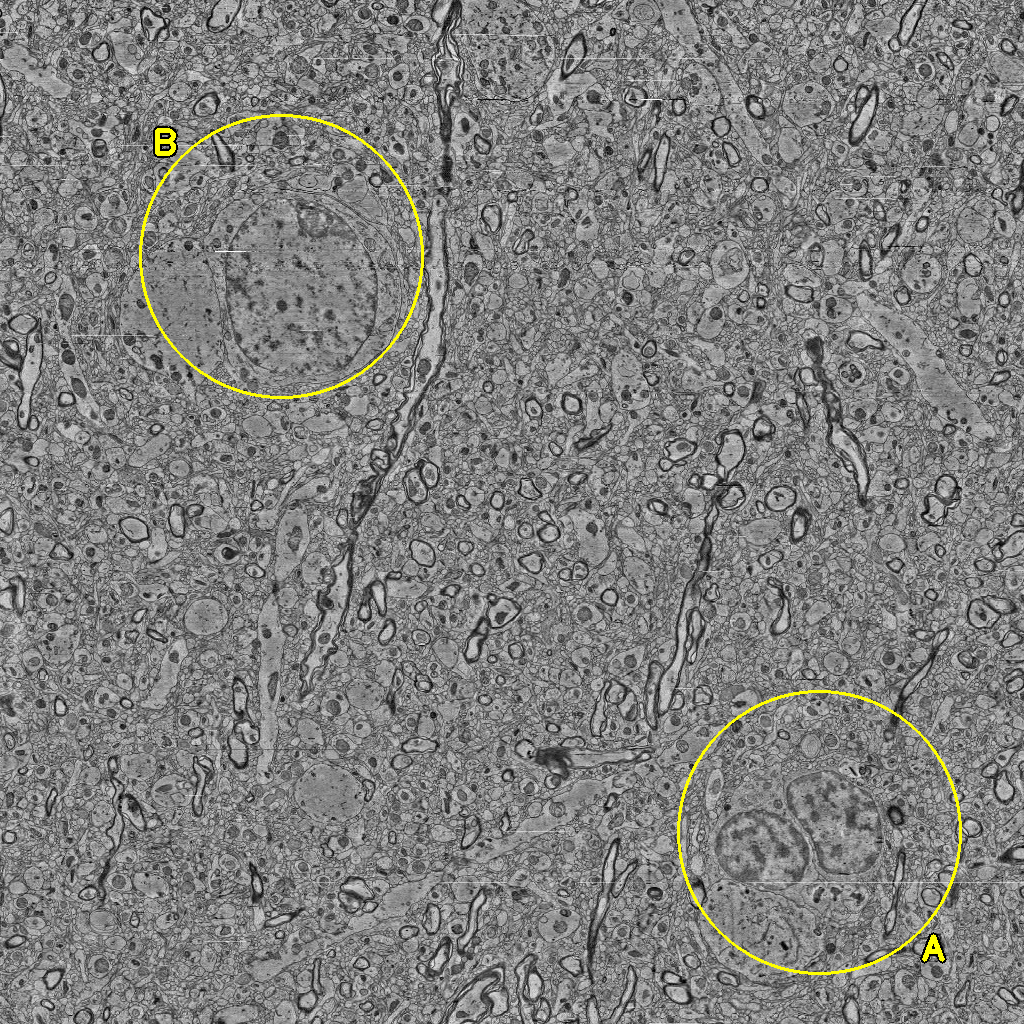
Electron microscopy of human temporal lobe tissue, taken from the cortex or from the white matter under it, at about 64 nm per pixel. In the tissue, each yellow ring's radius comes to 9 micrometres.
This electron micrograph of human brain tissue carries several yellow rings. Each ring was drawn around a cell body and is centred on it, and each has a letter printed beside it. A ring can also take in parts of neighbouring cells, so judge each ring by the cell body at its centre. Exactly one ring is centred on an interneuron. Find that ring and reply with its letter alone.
B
